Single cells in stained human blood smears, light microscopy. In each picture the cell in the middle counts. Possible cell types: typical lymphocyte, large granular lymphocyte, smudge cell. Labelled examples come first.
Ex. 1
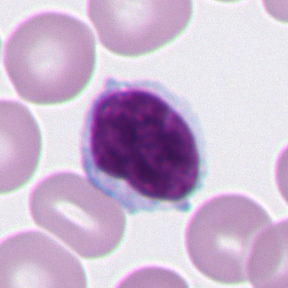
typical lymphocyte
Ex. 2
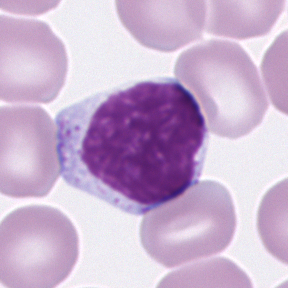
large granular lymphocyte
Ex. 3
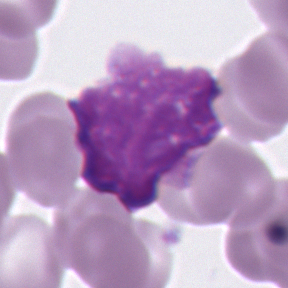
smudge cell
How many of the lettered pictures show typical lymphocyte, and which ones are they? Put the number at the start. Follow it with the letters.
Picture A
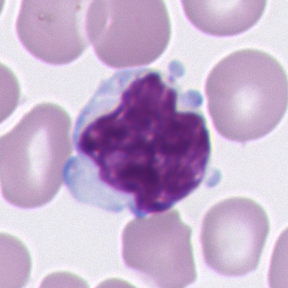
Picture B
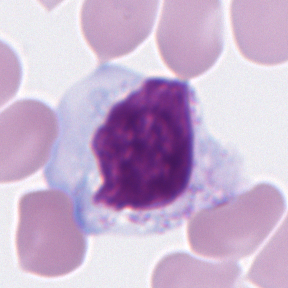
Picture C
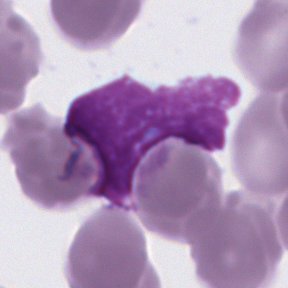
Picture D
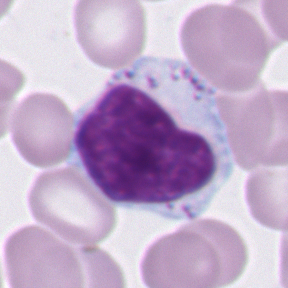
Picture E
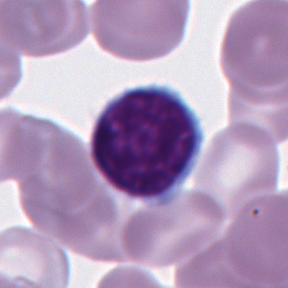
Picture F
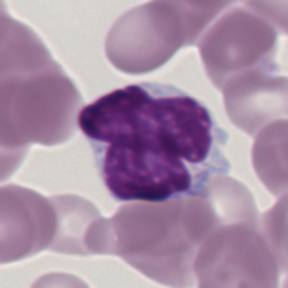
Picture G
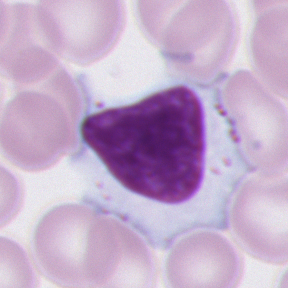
2, namely A, E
